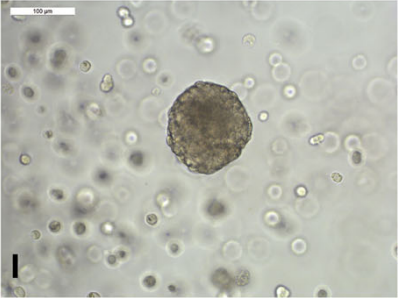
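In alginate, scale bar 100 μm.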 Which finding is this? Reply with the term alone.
dark and dense looking follicle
